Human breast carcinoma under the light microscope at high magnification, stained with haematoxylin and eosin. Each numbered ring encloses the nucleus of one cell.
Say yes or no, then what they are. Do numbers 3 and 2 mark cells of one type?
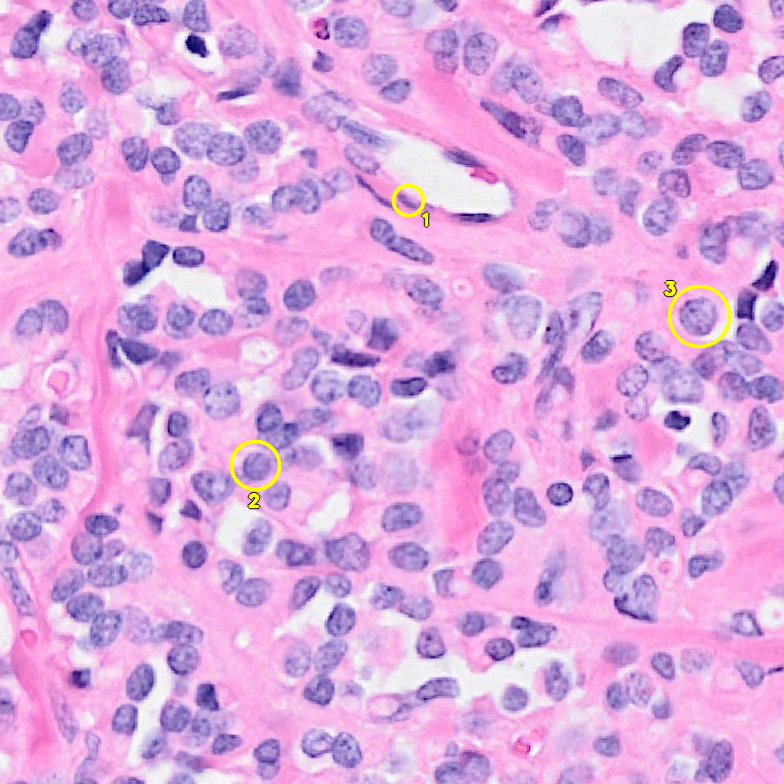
Yes, the pair of cells 3 and 2 are both carcinoma cells.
